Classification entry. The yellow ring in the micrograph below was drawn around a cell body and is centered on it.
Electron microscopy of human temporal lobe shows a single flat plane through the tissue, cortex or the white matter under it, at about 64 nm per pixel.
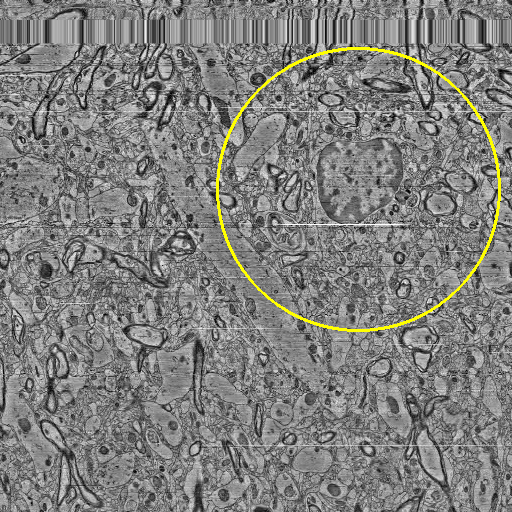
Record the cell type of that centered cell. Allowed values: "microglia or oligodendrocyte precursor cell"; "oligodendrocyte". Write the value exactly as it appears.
microglia or oligodendrocyte precursor cell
